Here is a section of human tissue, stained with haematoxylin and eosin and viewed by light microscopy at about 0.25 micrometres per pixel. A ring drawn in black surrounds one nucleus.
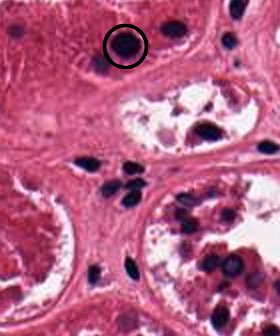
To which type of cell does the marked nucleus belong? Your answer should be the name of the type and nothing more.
proximal tubule cell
